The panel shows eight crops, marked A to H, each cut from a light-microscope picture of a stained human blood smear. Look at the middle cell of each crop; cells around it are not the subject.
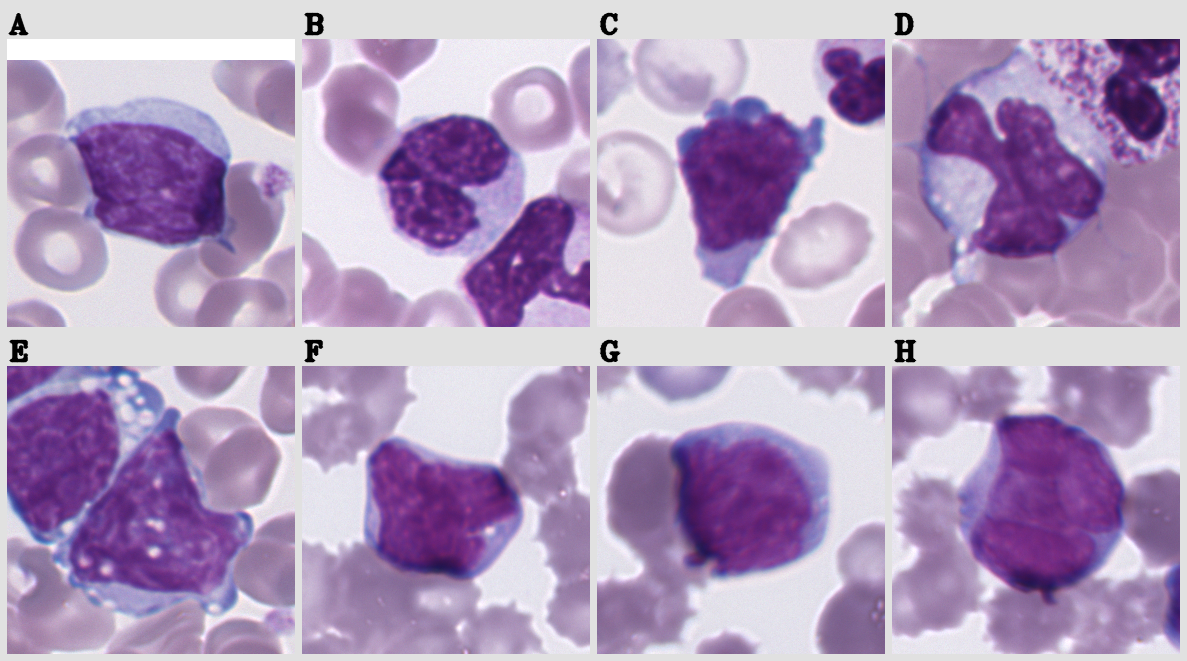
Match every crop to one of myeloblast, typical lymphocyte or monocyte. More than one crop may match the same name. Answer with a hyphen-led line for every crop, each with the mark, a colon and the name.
- A: myeloblast
- B: monocyte
- C: myeloblast
- D: monocyte
- E: myeloblast
- F: myeloblast
- G: myeloblast
- H: myeloblast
